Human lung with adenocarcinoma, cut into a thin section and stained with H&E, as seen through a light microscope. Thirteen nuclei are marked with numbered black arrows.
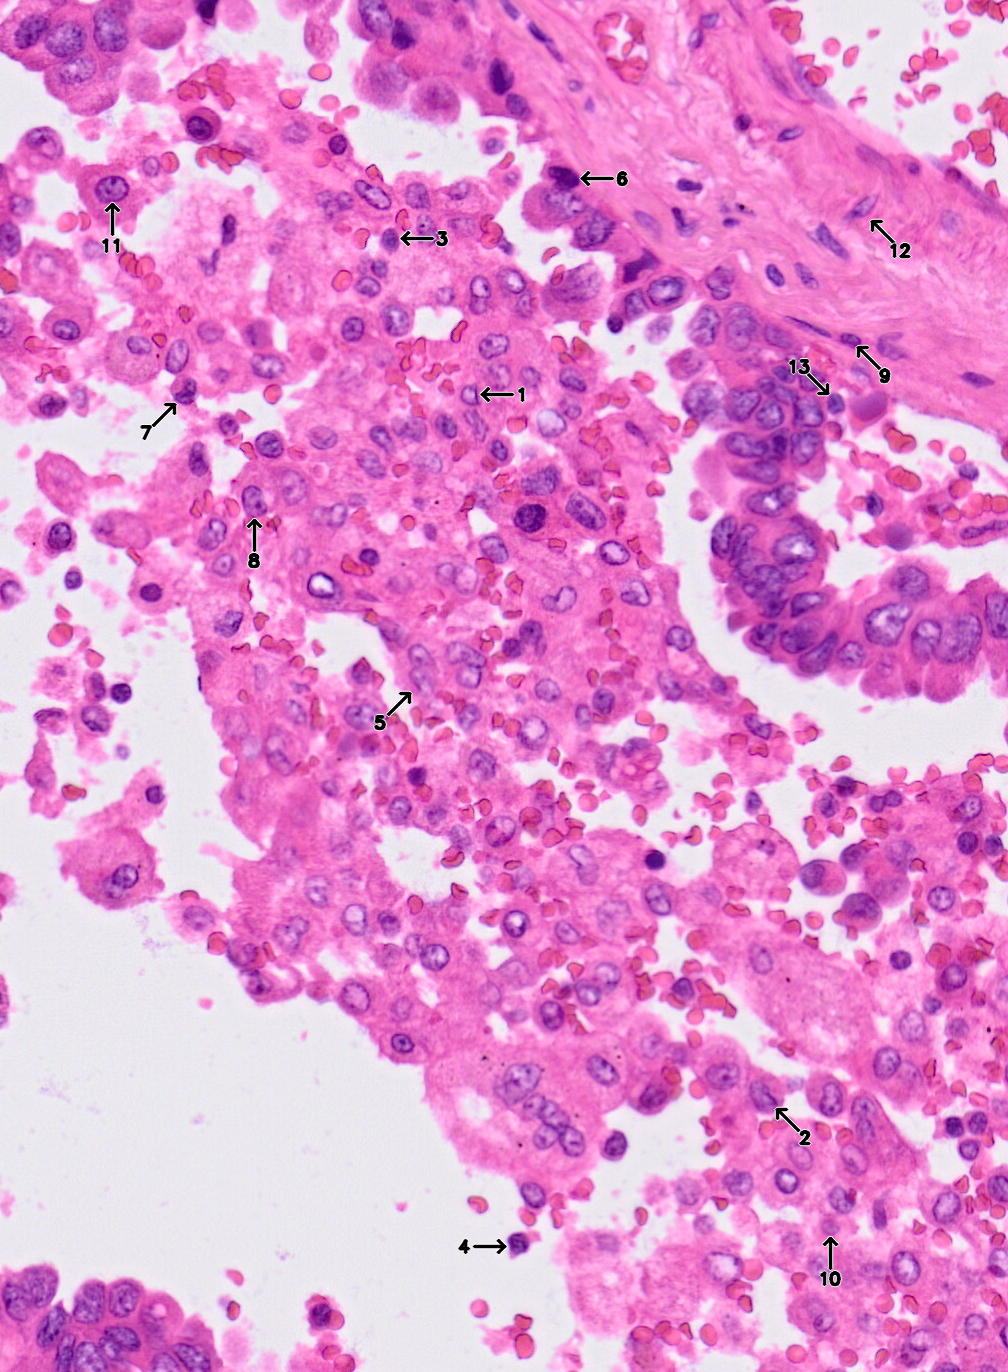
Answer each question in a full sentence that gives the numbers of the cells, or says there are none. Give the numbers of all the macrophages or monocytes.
To be specific, the cells numbered 1, 2, 5, 7, 8, 10 and 11 are macrophages or monocytes.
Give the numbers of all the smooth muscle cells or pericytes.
Only the cell marked 12 is a smooth muscle cell or pericyte.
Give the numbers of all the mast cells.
In this set of numbered cells, only cell 9 is a mast cell.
